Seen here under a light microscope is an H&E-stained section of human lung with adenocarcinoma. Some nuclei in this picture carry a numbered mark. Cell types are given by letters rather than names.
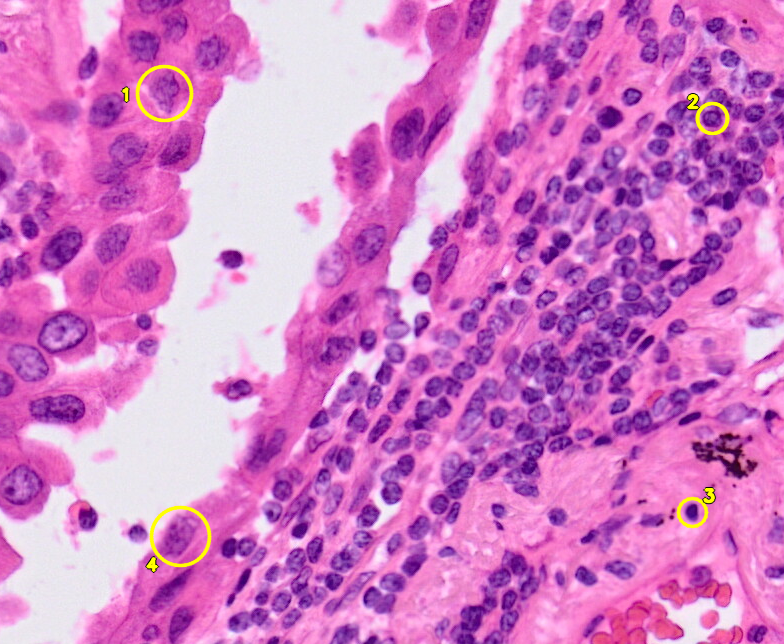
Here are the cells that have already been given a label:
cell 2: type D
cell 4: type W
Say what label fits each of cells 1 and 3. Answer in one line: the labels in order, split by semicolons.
type W; type D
